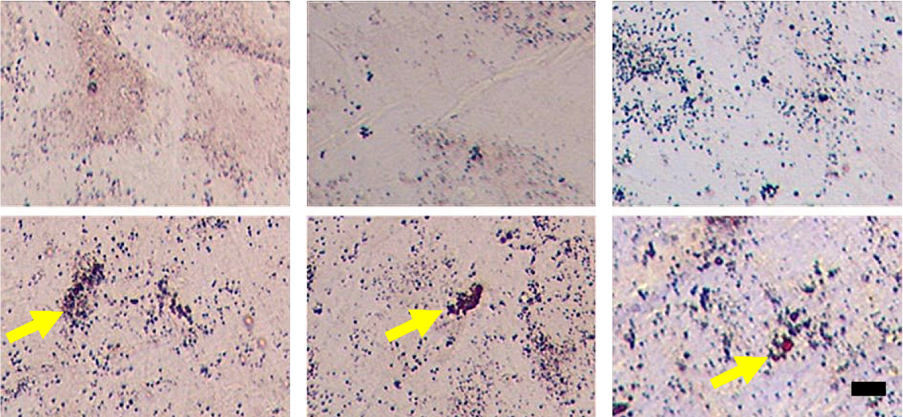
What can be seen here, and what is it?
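The background is pale pinkish-grey, with faint outlines of flattened cells and many scattered small dark blue-black dots spread over each field. In the upper row, no distinct red-stained droplets stand out. In the lower row, a few small clusters of reddish droplets appear within the cells, marked by yellow arrows, one in each field. These red-stained vacuoles are small and sparse, occupying only a small part of each field. Most cells show no visible red-stained droplets.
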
